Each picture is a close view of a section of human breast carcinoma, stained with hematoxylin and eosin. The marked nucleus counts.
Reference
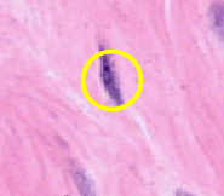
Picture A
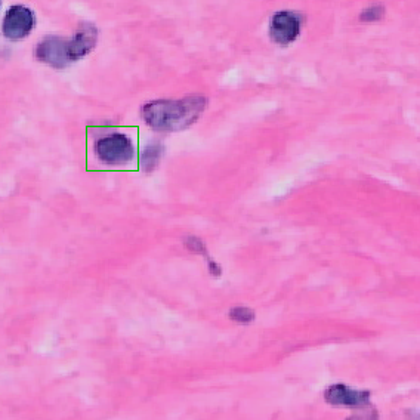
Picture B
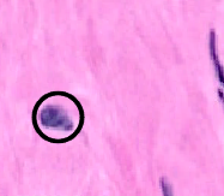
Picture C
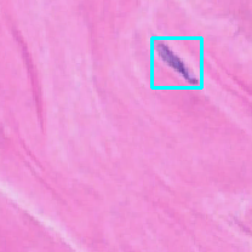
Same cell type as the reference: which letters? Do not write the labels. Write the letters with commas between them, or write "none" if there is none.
C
